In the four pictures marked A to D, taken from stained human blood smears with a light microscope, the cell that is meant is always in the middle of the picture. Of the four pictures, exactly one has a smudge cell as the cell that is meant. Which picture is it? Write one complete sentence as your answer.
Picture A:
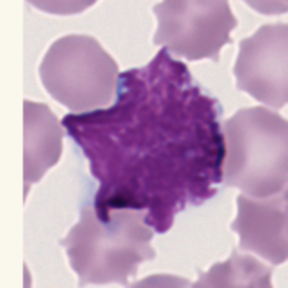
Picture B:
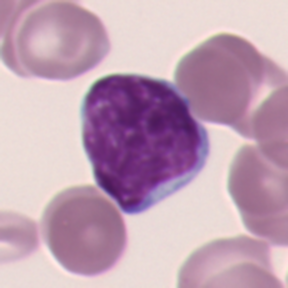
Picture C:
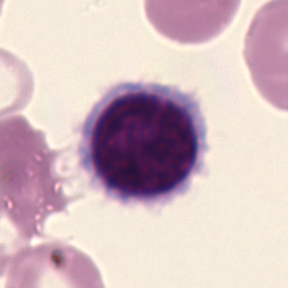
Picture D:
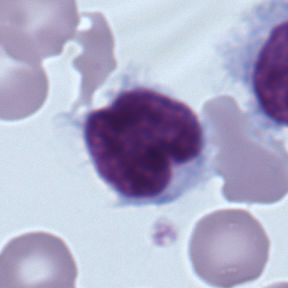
It is picture A that shows the smudge cell.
